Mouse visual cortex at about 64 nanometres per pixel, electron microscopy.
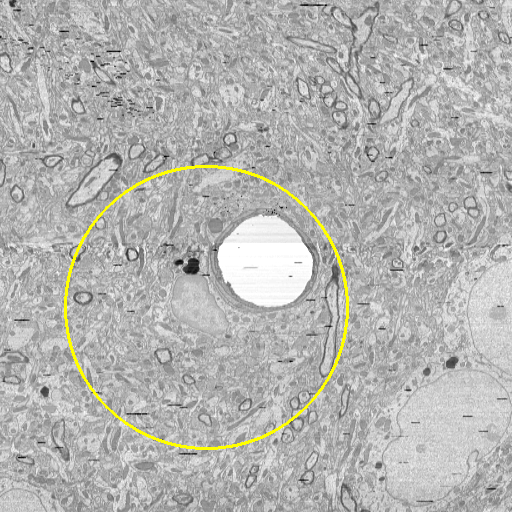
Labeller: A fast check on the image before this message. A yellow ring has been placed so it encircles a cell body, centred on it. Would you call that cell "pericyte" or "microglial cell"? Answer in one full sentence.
In this image, a microglial cell is the cell on which the yellow ring is centred.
